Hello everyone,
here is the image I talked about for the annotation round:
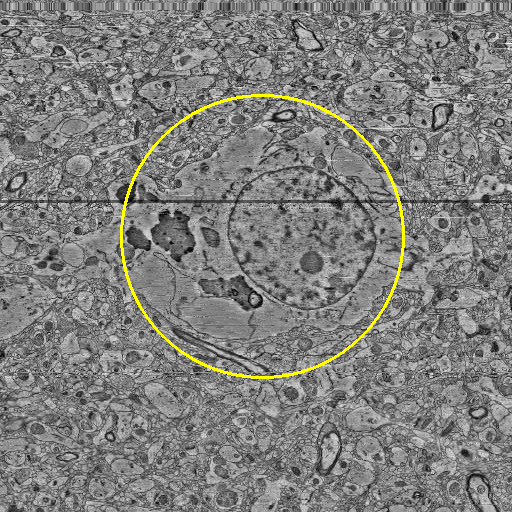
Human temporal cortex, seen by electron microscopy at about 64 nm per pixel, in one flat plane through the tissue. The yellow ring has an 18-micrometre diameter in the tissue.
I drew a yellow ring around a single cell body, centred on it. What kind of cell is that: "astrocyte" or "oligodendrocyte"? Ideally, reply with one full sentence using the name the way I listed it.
The cell your yellow ring is centred on is an astrocyte, going by your list.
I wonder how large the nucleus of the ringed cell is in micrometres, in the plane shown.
Approximately 9 micrometers across in this plane.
